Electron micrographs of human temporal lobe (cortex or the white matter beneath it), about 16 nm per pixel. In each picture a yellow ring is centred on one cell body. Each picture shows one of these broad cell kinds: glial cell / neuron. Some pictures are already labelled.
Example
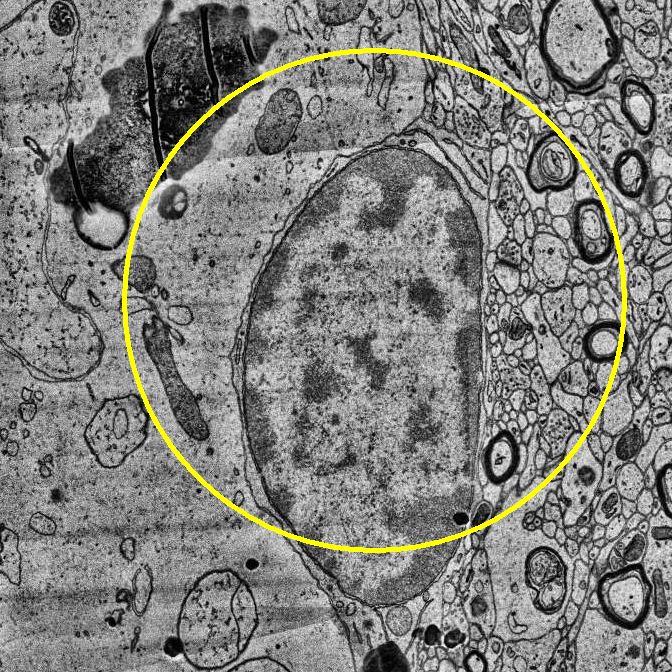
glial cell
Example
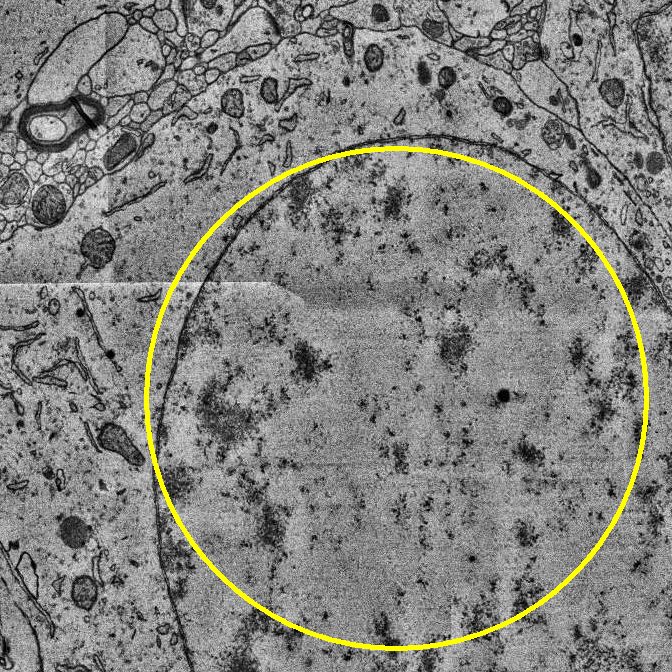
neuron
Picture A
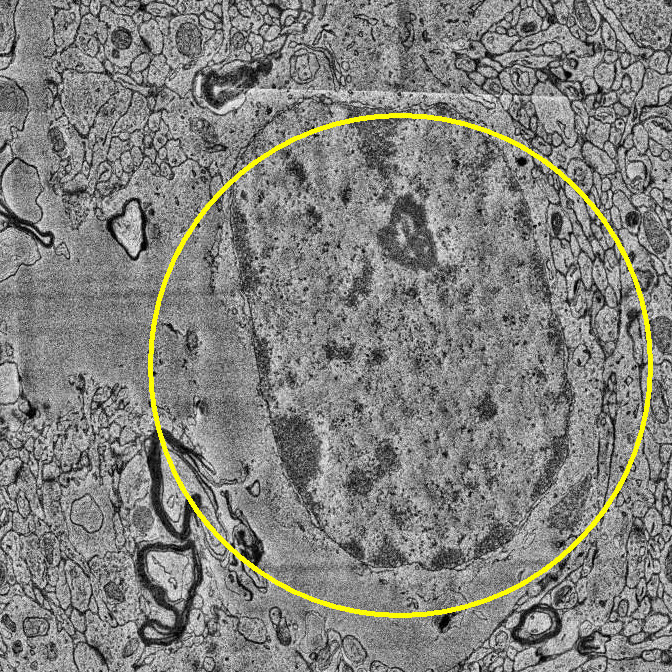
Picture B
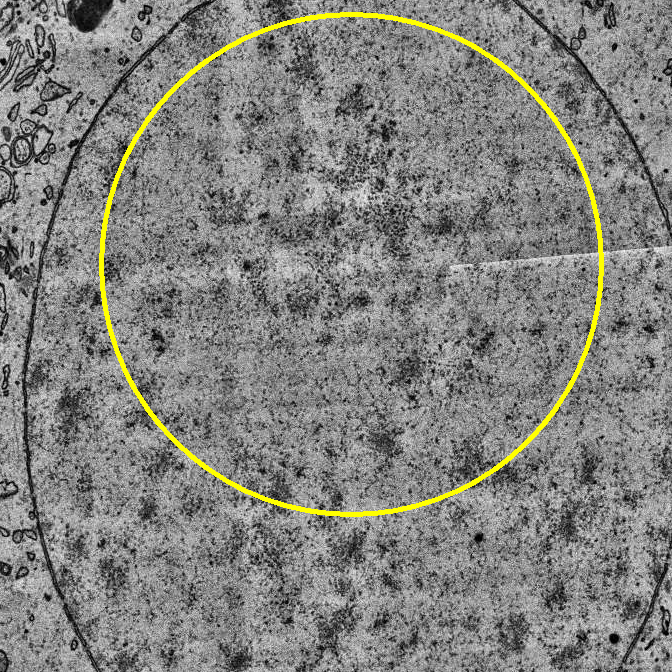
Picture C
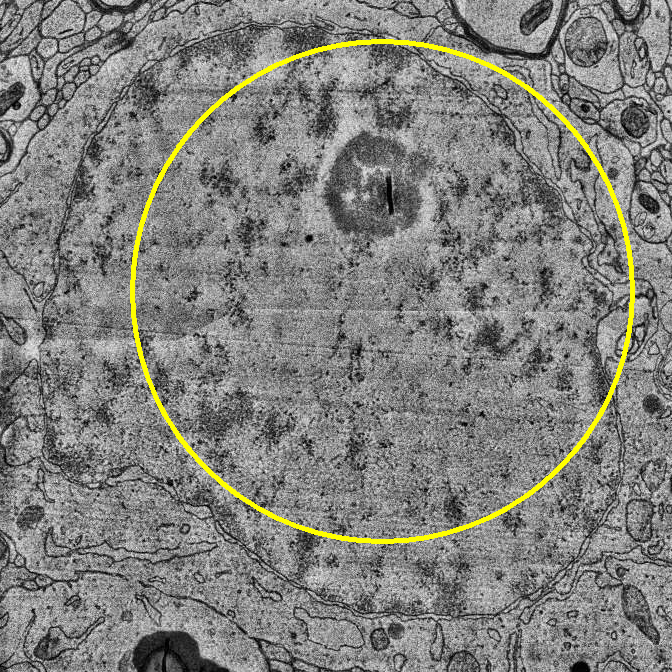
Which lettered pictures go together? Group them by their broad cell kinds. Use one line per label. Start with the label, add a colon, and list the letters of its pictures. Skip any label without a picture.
glial cell: A
neuron: B, C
